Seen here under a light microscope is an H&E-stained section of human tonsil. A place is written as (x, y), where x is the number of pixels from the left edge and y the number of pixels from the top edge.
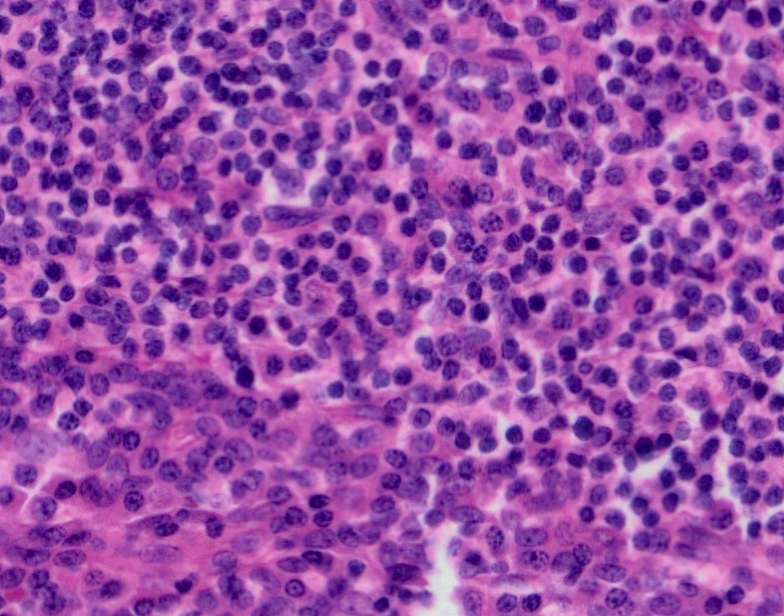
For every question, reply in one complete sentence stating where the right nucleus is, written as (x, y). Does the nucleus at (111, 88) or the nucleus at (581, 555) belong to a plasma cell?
The nucleus of a plasma cell is the one found at (581, 555), not the other.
